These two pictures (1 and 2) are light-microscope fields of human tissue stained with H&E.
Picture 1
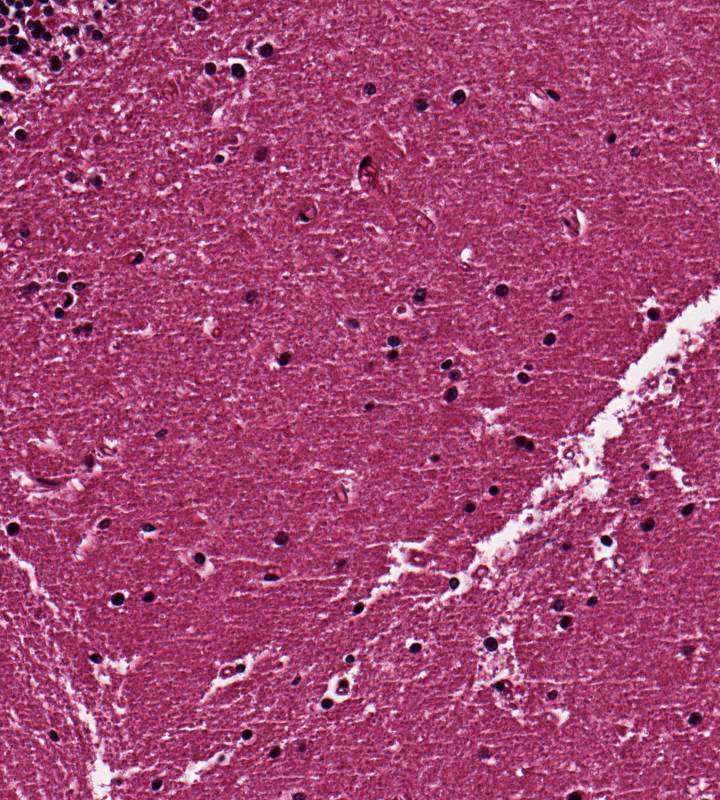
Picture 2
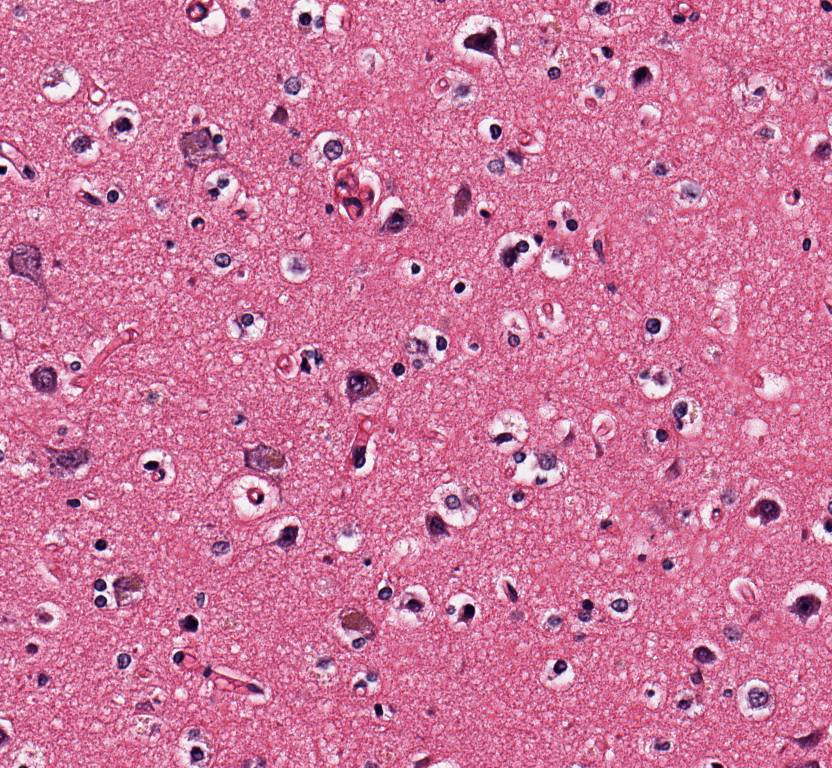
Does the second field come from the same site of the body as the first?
no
